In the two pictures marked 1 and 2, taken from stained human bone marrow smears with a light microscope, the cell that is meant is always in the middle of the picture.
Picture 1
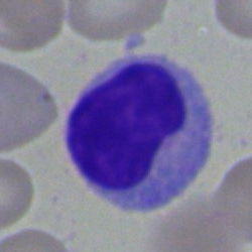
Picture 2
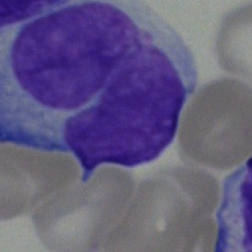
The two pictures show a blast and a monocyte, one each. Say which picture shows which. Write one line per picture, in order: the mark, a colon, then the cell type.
1: monocyte
2: blast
